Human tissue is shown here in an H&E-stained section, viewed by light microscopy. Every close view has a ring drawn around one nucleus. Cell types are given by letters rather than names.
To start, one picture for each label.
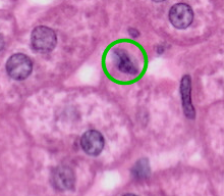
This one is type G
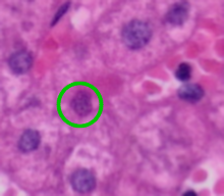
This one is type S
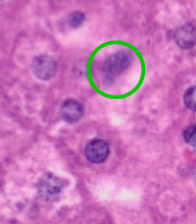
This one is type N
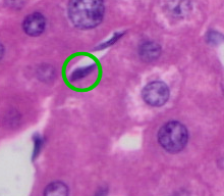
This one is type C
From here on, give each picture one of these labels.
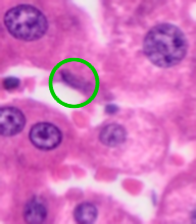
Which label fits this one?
type N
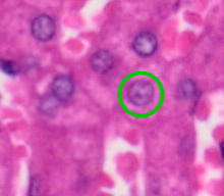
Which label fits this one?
type S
